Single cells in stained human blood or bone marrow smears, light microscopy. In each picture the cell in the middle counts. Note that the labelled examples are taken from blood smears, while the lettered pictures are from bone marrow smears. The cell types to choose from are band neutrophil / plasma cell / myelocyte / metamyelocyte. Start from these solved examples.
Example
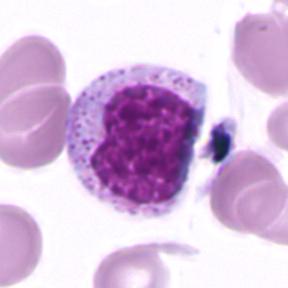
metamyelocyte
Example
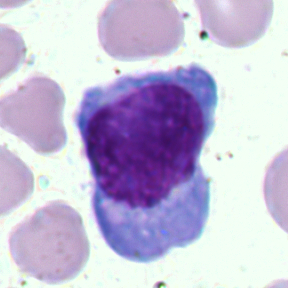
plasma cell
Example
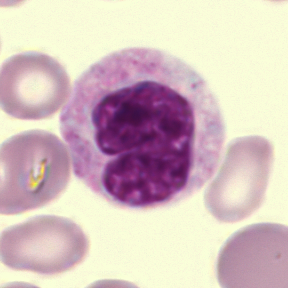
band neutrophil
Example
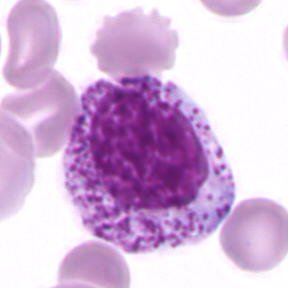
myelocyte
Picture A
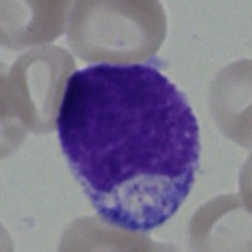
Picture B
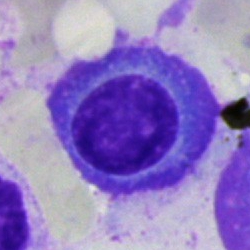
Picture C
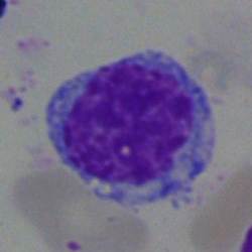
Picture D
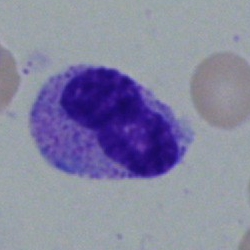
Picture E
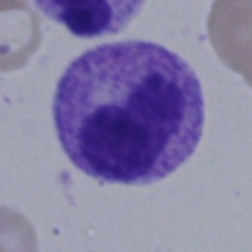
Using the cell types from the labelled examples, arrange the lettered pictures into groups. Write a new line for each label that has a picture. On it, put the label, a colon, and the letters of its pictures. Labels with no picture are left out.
plasma cell: B, C
myelocyte: A
metamyelocyte: D, E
